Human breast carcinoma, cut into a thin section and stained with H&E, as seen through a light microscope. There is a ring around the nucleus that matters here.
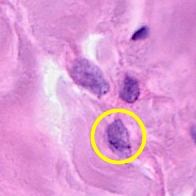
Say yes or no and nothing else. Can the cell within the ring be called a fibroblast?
yes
